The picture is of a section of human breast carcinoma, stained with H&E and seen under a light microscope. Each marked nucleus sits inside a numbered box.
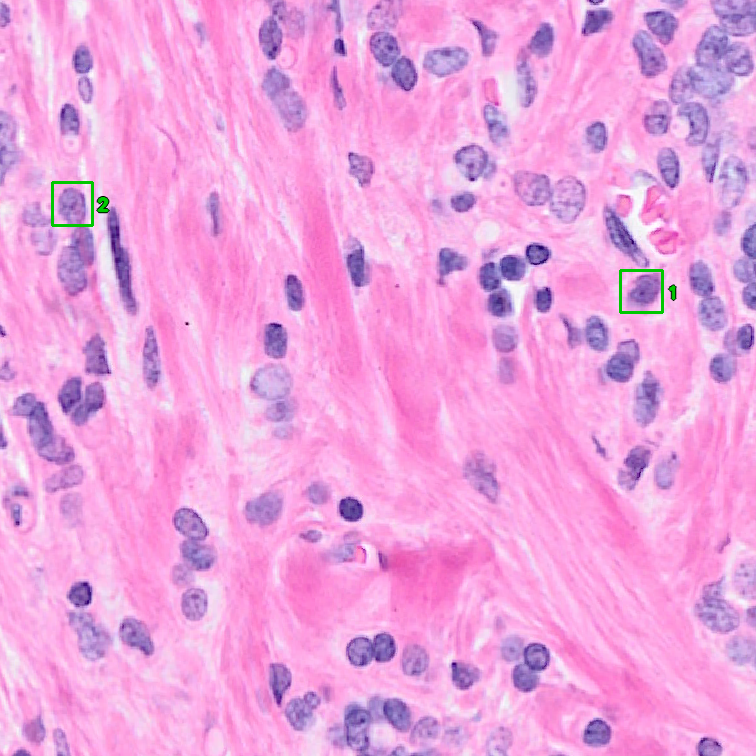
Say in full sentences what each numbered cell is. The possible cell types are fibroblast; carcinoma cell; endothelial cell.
Cell 1 is an endothelial cell and cell 2 is a carcinoma cell.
